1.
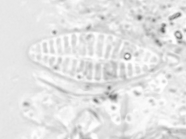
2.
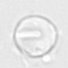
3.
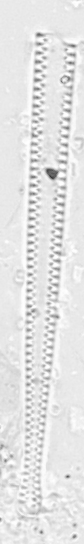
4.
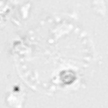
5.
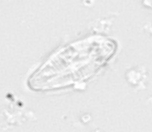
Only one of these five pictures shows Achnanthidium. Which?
Picture 5.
